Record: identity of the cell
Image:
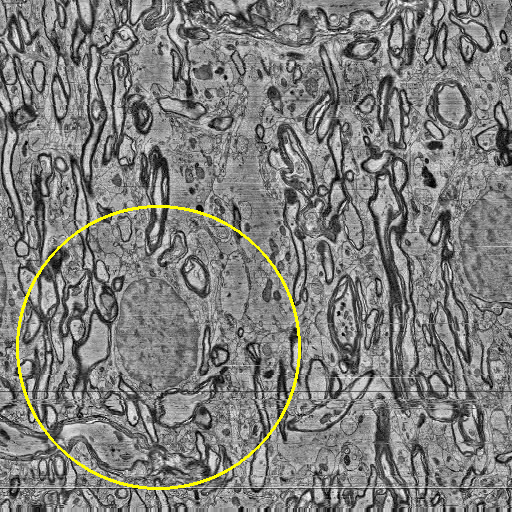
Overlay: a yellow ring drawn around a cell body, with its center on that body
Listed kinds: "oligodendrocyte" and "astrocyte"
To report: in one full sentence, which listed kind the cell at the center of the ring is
In the image, the cell body at the ring's center belongs to an oligodendrocyte.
